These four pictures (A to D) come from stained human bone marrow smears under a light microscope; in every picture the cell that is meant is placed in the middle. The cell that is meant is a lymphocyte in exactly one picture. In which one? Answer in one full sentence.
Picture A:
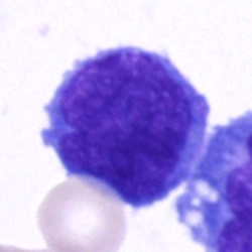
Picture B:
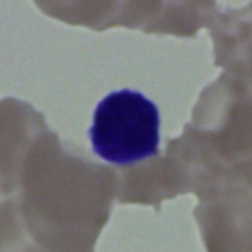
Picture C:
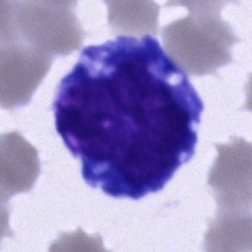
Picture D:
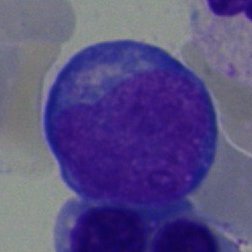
It is picture B that shows the lymphocyte.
